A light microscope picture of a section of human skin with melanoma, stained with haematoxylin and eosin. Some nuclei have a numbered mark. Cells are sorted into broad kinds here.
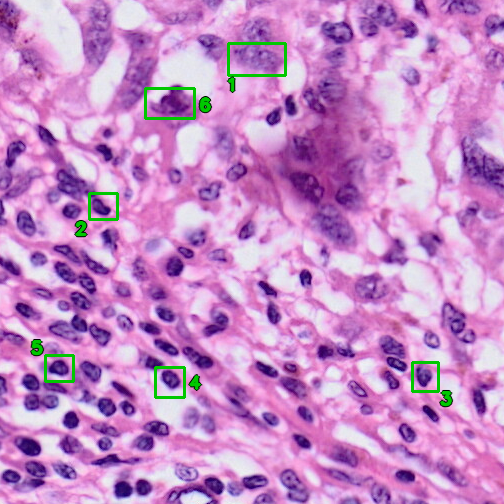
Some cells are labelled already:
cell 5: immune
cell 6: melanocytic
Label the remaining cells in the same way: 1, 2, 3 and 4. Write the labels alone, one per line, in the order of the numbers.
melanocytic
immune
immune
immune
